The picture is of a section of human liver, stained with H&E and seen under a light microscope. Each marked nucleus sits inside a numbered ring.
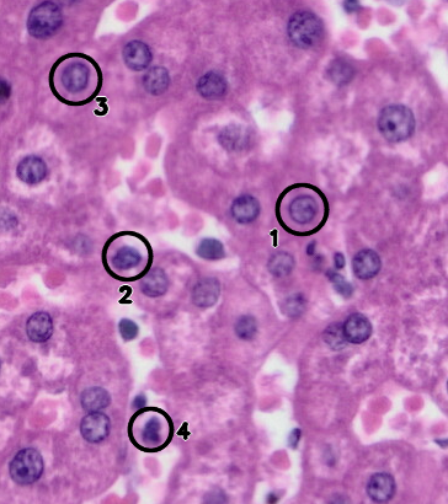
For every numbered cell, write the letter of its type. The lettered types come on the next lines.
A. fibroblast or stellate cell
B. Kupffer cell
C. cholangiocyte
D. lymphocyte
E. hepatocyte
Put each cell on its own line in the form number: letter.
1: E
2: A
3: E
4: D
